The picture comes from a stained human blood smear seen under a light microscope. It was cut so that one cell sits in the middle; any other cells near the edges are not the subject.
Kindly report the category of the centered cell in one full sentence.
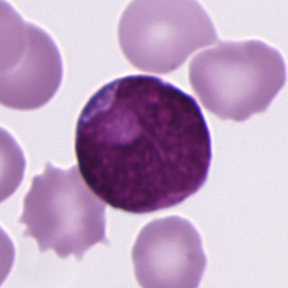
The middle cell in this particular crop is a myeloblast.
